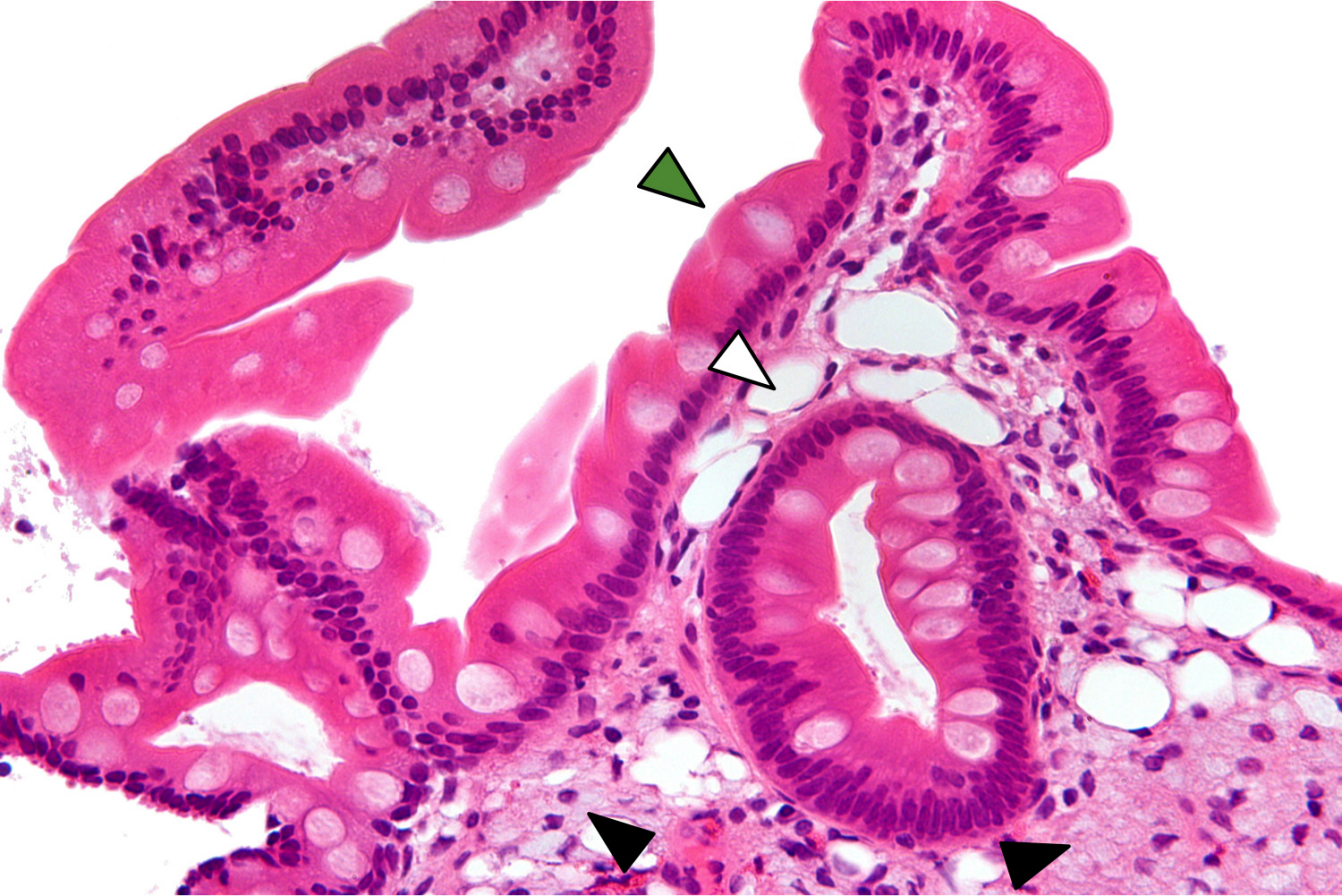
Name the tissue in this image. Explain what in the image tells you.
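Small intestine. Finger-like projections lined by tall columnar epithelium. Numerous pale goblet cells scattered among the columnar cells. A gland lined by the same epithelium cut in section within loose connective tissue.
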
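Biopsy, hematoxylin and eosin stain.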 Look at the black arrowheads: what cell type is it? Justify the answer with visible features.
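Macrophages. The marked area lies in the connective tissue beneath the epithelium. It is filled with pale pink cells with finely vacuolated, foamy-looking cytoplasm. These cells are rounded with small nuclei.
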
